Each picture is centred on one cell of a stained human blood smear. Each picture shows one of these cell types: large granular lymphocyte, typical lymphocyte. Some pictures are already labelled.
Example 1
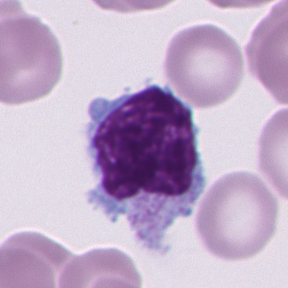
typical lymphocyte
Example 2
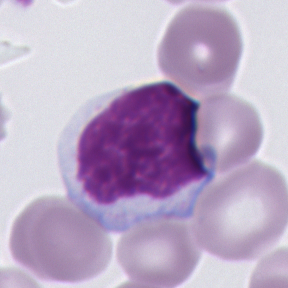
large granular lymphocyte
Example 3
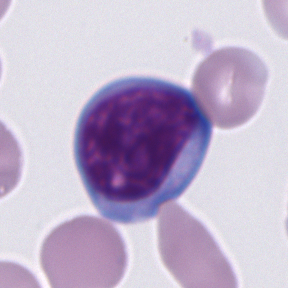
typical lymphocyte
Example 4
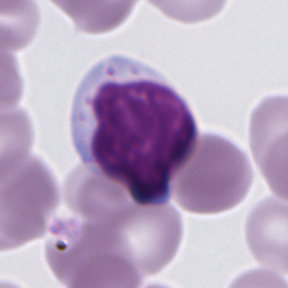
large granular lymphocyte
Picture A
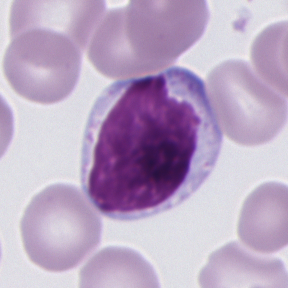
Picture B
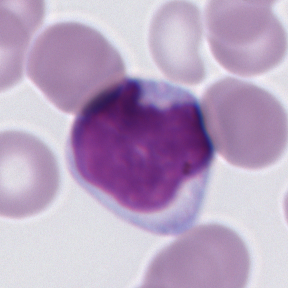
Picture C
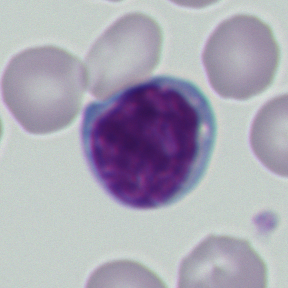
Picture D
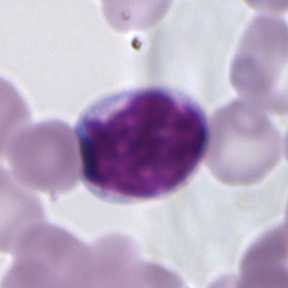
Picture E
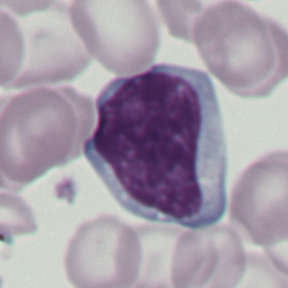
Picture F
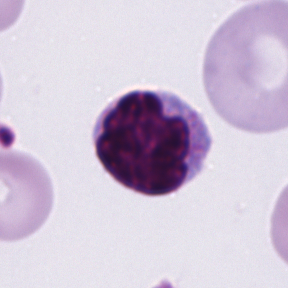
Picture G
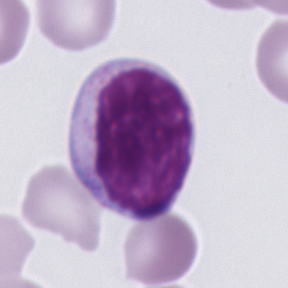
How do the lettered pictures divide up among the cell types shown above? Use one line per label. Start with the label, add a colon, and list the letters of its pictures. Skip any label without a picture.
large granular lymphocyte: A, B, D, F, G
typical lymphocyte: C, E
